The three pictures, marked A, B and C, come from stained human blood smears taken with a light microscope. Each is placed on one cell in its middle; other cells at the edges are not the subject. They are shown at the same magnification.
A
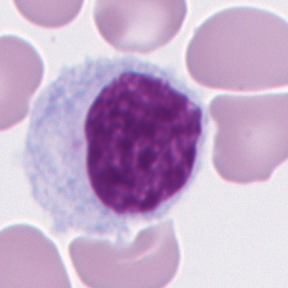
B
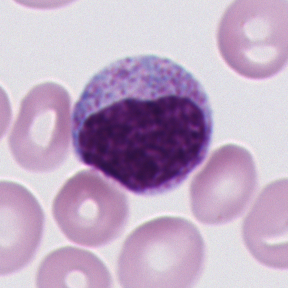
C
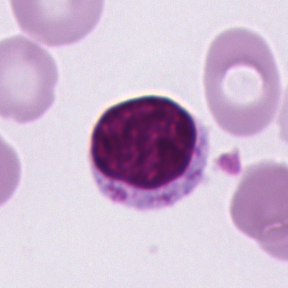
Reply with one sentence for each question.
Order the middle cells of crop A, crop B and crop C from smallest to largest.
From the smallest up, the order is C, B, A.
